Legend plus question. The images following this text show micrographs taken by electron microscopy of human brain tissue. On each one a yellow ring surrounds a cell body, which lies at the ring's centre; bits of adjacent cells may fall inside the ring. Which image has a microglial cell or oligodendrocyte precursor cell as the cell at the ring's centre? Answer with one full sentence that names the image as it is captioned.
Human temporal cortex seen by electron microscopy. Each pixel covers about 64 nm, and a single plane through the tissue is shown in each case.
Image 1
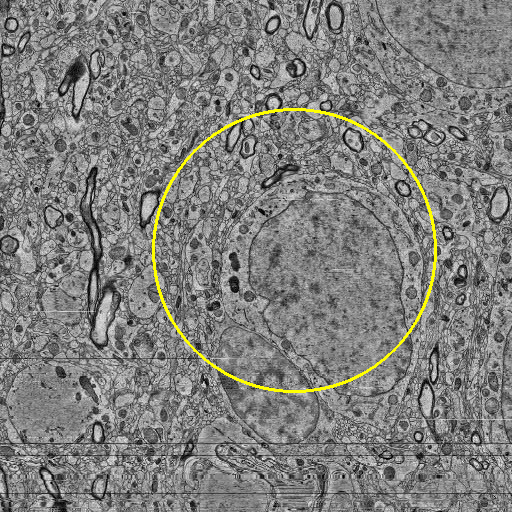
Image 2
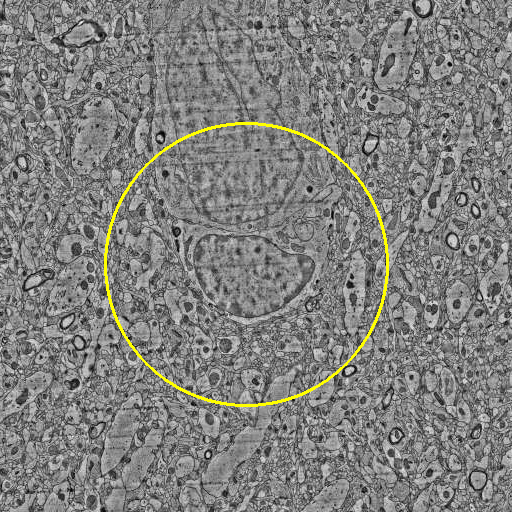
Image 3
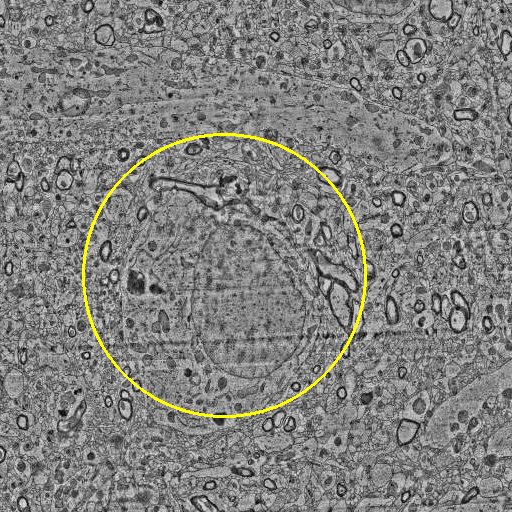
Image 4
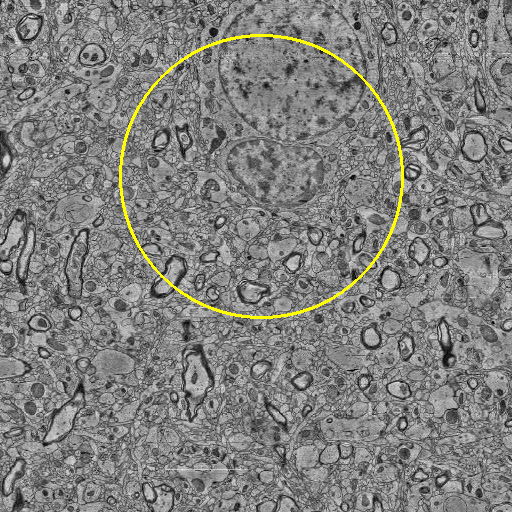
The centred cell that was asked for is the one in Image 2.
